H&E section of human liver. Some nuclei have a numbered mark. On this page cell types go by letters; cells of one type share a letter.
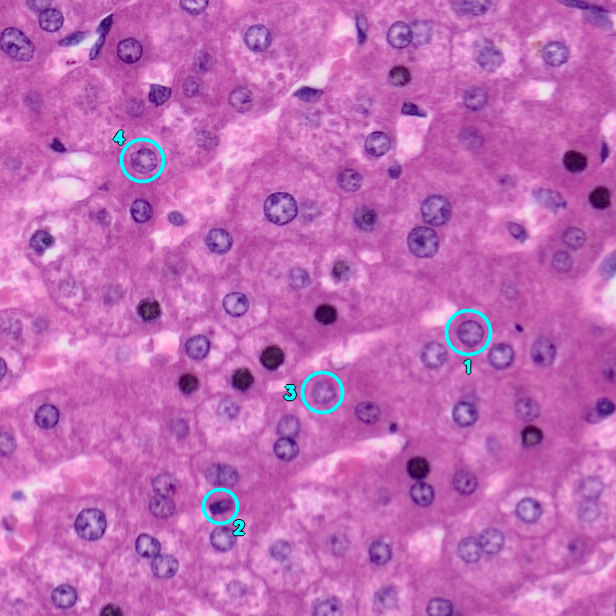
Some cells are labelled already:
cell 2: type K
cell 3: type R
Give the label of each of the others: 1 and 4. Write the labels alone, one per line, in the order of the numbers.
type R
type R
